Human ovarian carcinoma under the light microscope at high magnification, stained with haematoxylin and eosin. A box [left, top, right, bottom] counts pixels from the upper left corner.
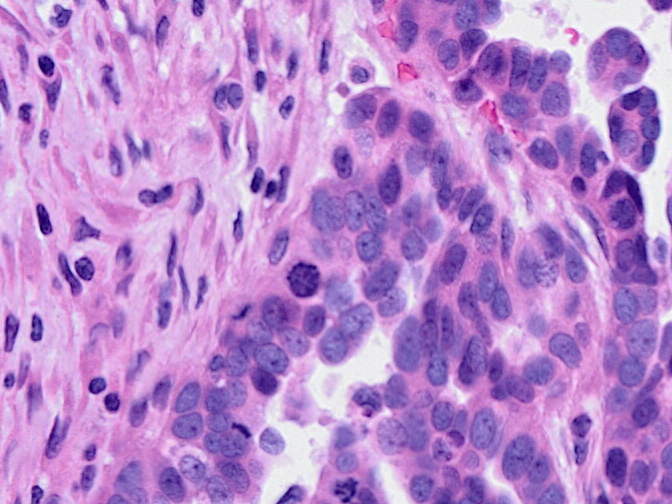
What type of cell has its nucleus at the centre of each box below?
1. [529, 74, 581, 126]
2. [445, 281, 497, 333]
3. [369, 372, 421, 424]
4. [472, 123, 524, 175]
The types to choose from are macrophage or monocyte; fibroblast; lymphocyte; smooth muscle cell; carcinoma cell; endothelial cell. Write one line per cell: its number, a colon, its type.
1: carcinoma cell
2: carcinoma cell
3: carcinoma cell
4: fibroblast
